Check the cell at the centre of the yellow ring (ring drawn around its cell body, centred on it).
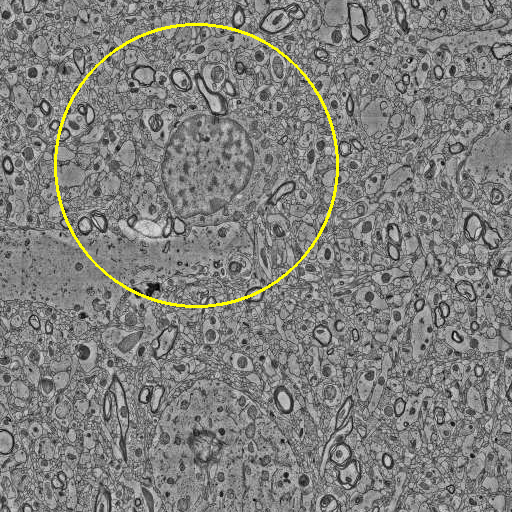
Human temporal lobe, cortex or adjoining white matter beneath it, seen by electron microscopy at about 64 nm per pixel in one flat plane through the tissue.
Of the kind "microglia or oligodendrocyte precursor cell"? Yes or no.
no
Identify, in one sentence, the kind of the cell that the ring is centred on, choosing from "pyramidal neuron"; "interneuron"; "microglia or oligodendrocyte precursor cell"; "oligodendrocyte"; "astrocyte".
Instead, the cell at the centre of the yellow ring is an oligodendrocyte.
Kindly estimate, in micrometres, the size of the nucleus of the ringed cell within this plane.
About 7 by 6 micrometers for the nucleus, in this plane.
